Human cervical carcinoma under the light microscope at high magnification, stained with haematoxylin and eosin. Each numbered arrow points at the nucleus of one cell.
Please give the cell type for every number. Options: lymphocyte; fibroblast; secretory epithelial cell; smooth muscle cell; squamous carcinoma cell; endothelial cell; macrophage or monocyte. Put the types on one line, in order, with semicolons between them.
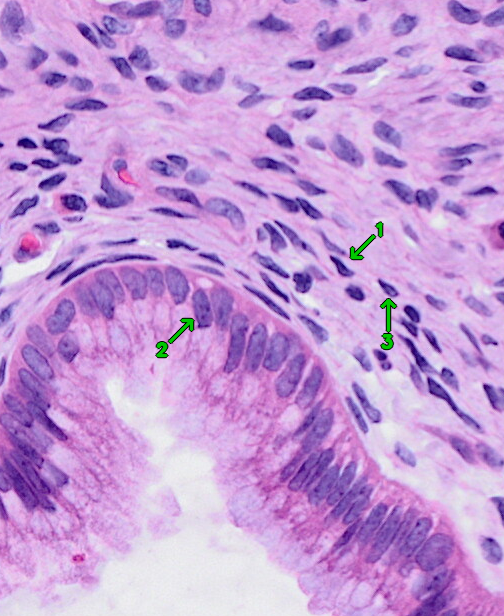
fibroblast; secretory epithelial cell; fibroblast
